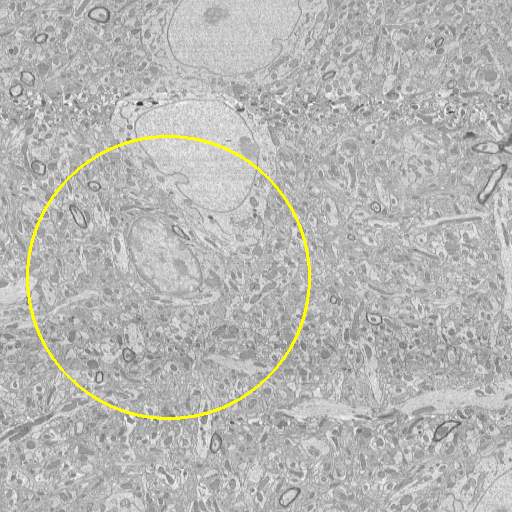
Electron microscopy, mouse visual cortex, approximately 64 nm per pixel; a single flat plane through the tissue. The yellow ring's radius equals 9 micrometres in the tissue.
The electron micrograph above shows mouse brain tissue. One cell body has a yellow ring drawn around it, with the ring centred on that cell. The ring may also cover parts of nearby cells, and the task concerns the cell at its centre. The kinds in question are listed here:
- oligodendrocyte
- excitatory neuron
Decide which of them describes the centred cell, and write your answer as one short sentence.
The centred cell is an oligodendrocyte.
